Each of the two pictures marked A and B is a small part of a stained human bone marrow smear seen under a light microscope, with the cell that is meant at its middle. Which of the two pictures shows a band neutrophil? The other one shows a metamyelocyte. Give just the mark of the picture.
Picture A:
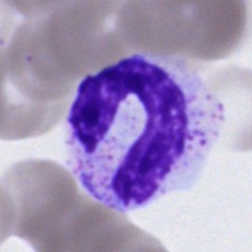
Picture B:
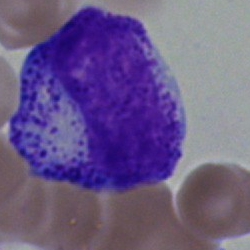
A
